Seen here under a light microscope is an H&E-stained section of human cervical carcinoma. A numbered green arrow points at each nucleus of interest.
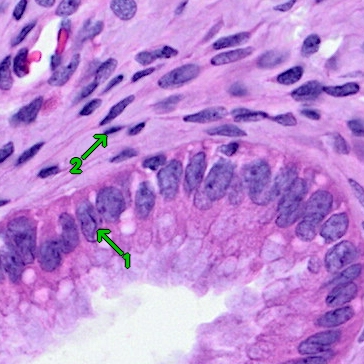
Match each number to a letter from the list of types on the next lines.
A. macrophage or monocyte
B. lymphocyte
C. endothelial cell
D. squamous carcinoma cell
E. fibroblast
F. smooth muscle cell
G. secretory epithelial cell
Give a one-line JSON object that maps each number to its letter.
{"1": "G", "2": "E"}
